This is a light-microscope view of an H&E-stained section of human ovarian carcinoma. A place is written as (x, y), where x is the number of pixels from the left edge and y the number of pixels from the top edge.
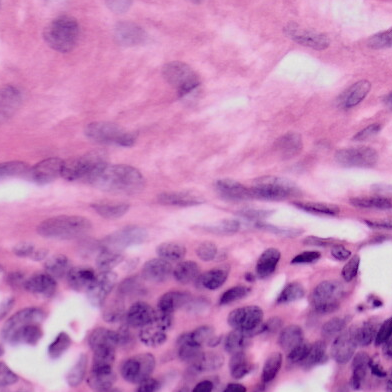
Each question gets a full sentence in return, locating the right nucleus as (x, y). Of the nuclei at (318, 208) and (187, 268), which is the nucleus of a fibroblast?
The nucleus at (318, 208), rather than the other one, belongs to a fibroblast.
